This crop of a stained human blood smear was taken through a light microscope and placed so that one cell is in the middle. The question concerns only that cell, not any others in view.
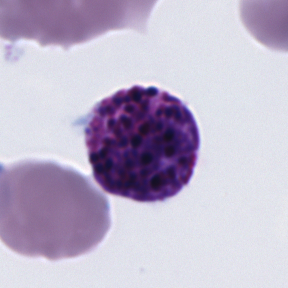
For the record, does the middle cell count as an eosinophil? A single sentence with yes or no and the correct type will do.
No, the central cell is a basophil; it should not be labelled an eosinophil.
